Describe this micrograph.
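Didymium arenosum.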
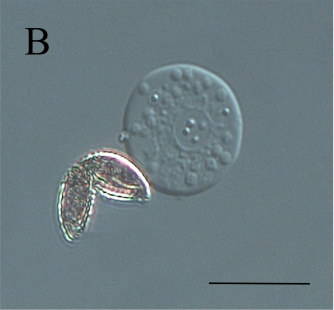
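A spore of a slime mould is seen at germination, with its protoplast already emerged. The empty spore wall is thick, refractile and split open in a V shape, lying to one side. Beside it lies a large round protoplast with a thin, smooth outline. Its cytoplasm holds many scattered rounded granules and droplets of different sizes.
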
